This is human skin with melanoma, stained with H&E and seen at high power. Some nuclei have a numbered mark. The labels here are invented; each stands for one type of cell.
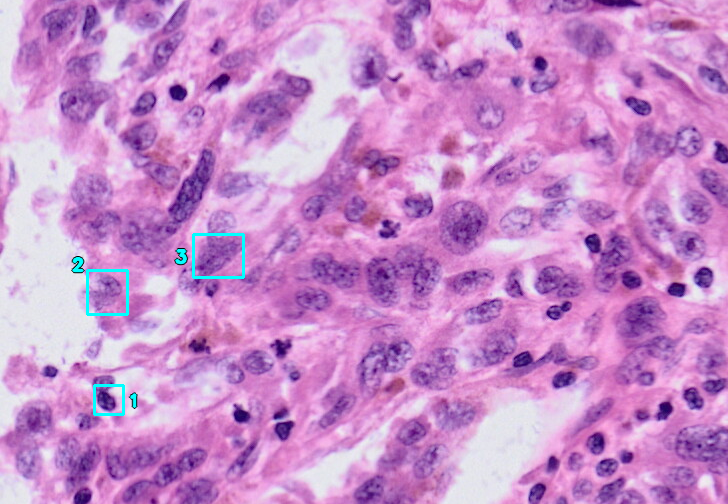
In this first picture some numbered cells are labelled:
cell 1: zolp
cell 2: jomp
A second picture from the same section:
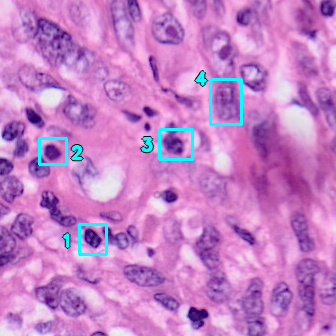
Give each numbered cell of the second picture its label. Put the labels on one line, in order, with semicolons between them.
zolp; zolp; zolp; jomp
